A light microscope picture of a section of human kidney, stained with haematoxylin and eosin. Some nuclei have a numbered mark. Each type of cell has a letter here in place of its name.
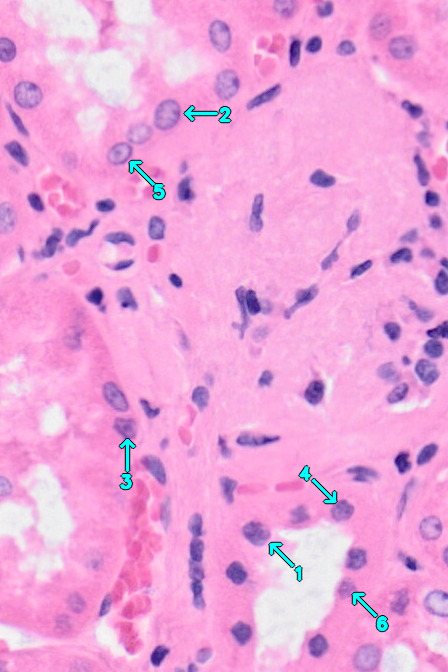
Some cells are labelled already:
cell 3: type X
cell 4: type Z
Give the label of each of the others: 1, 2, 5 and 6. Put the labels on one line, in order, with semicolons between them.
type Z; type X; type X; type Z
